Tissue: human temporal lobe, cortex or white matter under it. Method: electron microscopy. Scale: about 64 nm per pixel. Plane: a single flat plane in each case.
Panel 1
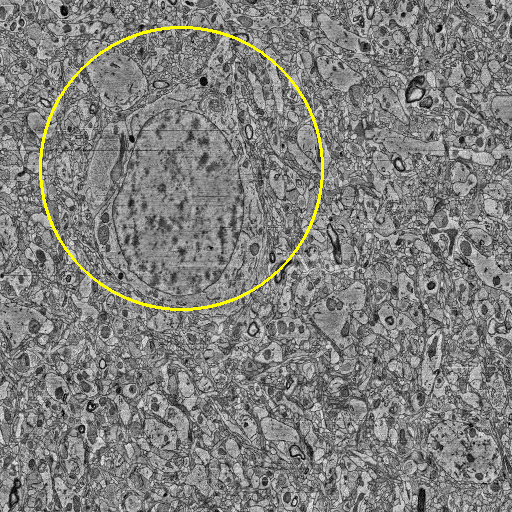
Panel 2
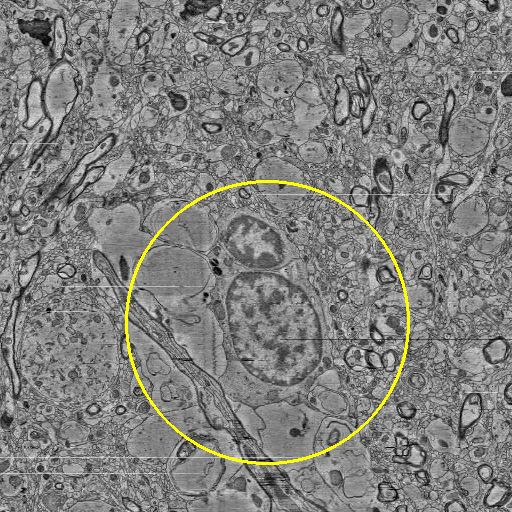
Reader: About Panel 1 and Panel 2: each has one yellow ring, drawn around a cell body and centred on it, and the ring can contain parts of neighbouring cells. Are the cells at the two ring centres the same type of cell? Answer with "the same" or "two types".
two types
